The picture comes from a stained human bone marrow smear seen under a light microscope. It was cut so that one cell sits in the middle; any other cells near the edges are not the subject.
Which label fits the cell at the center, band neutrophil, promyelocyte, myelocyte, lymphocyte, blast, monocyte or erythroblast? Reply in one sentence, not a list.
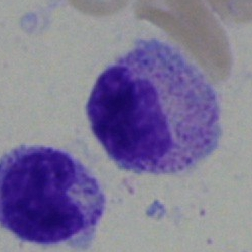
Within this crop, a myelocyte occupies the central position.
